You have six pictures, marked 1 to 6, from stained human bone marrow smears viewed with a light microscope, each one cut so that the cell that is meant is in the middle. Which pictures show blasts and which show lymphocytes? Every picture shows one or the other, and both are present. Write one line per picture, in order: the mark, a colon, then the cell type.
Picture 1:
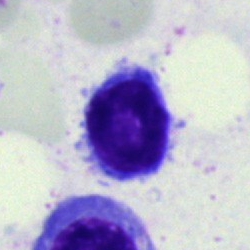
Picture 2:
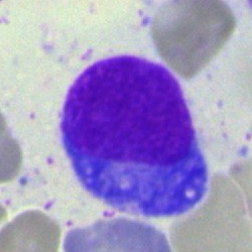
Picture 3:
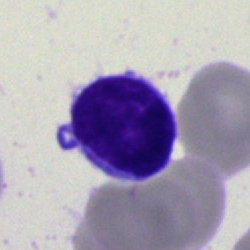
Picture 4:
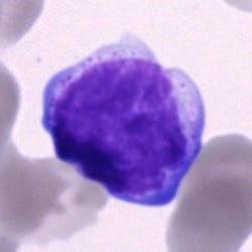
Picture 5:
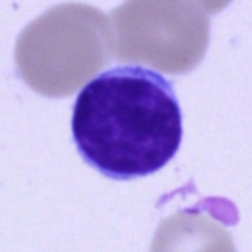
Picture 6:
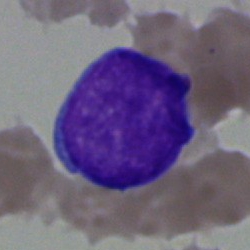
1: lymphocyte
2: blast
3: lymphocyte
4: blast
5: lymphocyte
6: blast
